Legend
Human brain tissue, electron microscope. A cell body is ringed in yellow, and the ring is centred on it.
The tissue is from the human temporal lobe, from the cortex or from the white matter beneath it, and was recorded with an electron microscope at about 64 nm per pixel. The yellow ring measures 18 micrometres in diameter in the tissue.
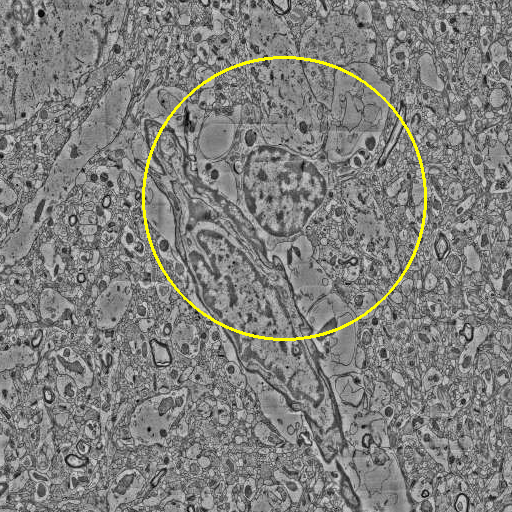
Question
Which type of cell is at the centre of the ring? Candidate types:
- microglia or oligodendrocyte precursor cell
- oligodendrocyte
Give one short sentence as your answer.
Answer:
The yellow ring is centred here on a microglial cell or oligodendrocyte precursor cell.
